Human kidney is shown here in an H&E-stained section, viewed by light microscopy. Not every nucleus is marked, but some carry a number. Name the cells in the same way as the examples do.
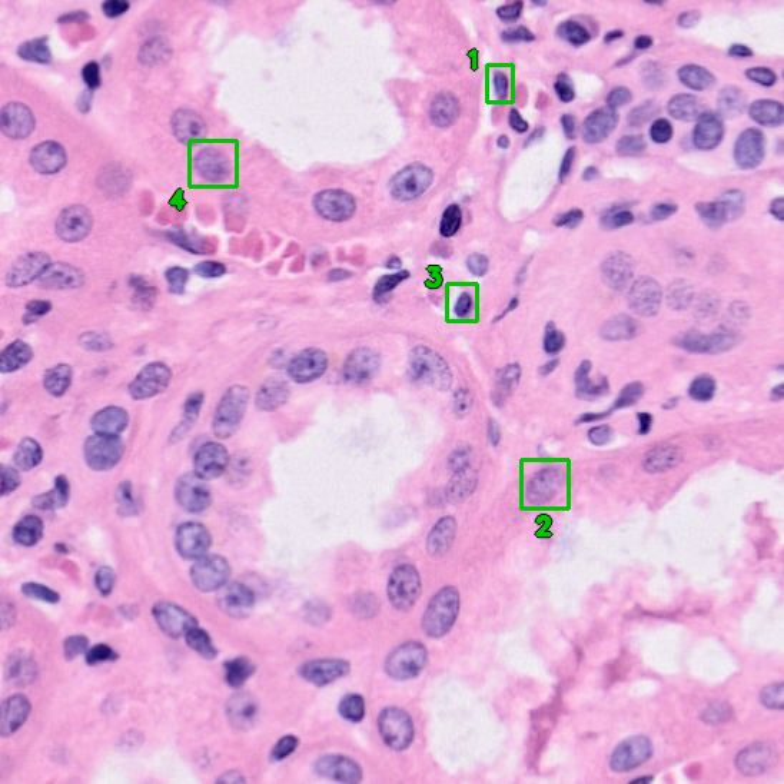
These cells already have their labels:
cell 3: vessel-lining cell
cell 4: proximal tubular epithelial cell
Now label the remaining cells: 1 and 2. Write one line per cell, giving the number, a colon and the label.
1: vessel-lining cell
2: proximal tubular epithelial cell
